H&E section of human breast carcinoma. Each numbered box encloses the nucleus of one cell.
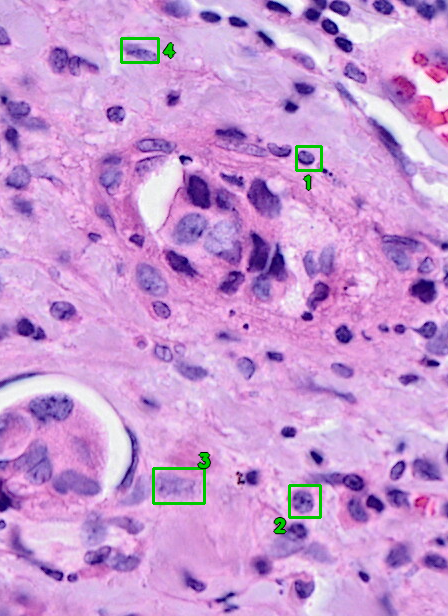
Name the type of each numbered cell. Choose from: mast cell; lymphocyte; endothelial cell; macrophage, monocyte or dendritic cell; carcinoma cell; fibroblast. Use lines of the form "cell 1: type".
cell 1: lymphocyte
cell 2: mast cell
cell 3: fibroblast
cell 4: fibroblast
